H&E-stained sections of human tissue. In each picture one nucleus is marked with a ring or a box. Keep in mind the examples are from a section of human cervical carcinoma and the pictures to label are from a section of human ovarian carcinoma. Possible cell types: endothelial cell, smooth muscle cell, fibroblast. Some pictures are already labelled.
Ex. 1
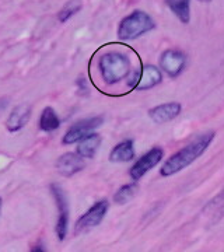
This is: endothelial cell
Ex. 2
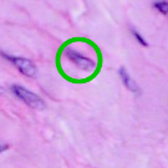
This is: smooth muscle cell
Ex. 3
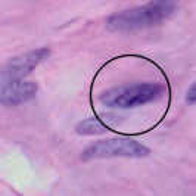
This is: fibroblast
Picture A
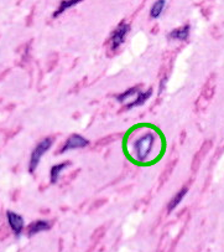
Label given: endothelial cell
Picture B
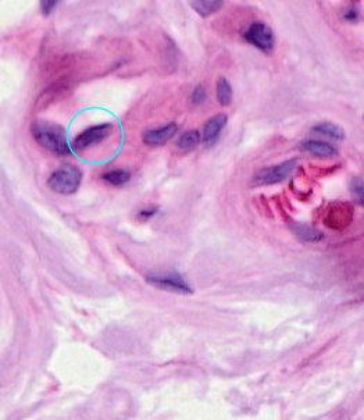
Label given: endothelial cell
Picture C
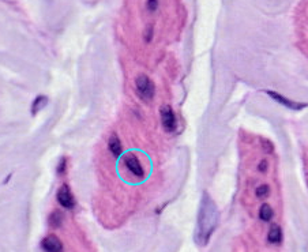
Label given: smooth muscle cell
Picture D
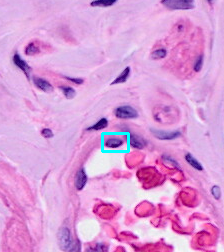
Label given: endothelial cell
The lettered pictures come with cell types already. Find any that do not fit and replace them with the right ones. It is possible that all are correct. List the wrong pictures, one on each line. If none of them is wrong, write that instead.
A: change endothelial cell to fibroblast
